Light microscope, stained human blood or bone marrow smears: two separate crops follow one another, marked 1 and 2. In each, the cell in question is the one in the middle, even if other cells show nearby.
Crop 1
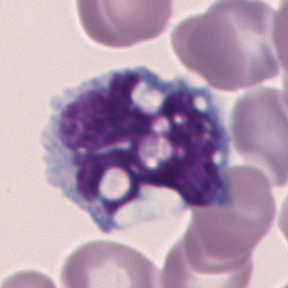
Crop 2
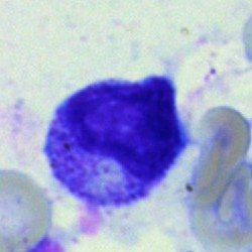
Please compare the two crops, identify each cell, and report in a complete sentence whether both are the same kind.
No, crop 1 corresponds to a monocyte, while crop 2 corresponds to a myelocyte.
